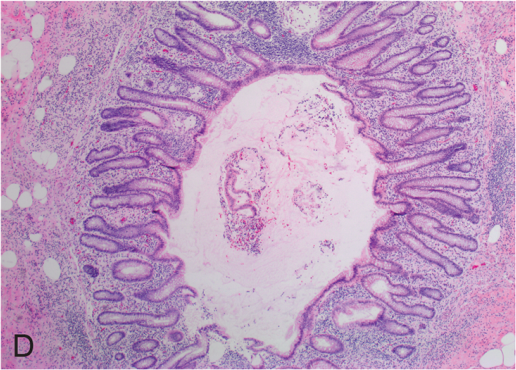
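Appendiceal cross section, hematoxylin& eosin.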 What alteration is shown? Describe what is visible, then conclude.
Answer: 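Crypts are elongated, irregular and unevenly spaced around the lumen. Some crypts are branched or variably oriented.
Crypt architectural changes.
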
